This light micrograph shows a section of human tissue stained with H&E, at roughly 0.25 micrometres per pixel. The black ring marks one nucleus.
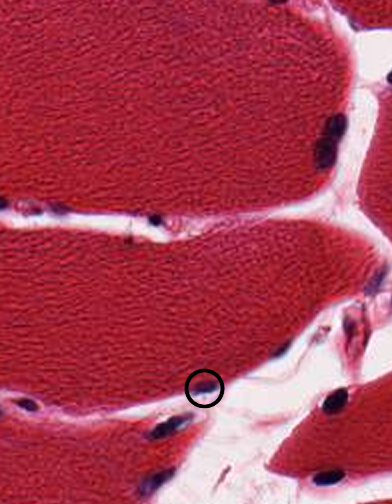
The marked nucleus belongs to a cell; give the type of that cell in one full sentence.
It is to a skeletal muscle fibre that the marked nucleus belongs.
